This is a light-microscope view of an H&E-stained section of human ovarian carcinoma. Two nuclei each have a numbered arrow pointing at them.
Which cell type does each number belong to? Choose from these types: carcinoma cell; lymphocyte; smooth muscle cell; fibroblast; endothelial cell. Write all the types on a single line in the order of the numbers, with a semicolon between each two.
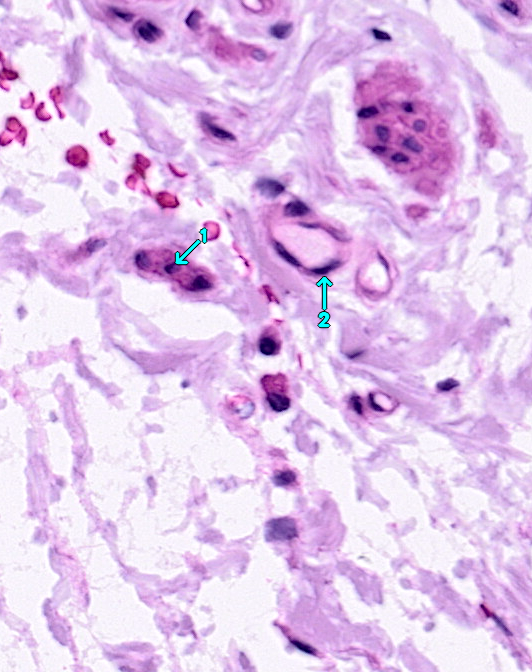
smooth muscle cell; endothelial cell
